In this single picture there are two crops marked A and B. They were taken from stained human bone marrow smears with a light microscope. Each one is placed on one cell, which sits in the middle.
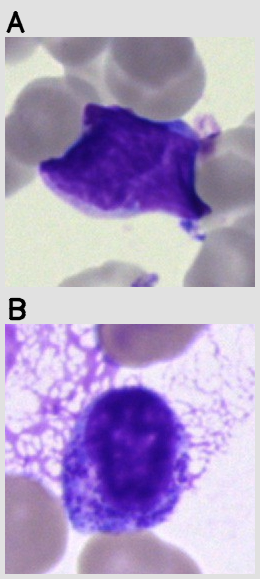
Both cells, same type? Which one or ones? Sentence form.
No, crop A presents a blast; crop B presents a myelocyte.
